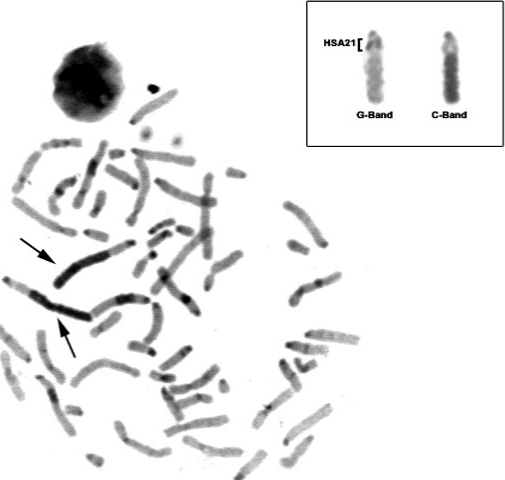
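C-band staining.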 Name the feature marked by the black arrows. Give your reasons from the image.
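The two arrowed chromosomes carry long, intensely dark segments. The dark segments lie at one end of each arrowed chromosome.
Conclusion: large terminal heterochromatic blocks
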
